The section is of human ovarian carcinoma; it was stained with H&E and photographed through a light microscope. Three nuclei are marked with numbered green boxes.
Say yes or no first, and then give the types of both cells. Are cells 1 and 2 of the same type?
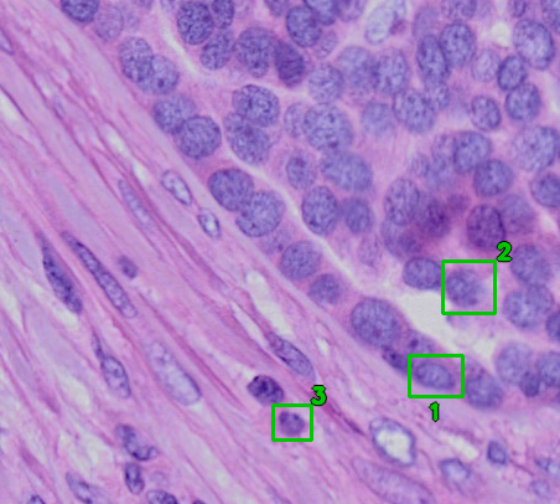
Yes, both are carcinoma cells.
